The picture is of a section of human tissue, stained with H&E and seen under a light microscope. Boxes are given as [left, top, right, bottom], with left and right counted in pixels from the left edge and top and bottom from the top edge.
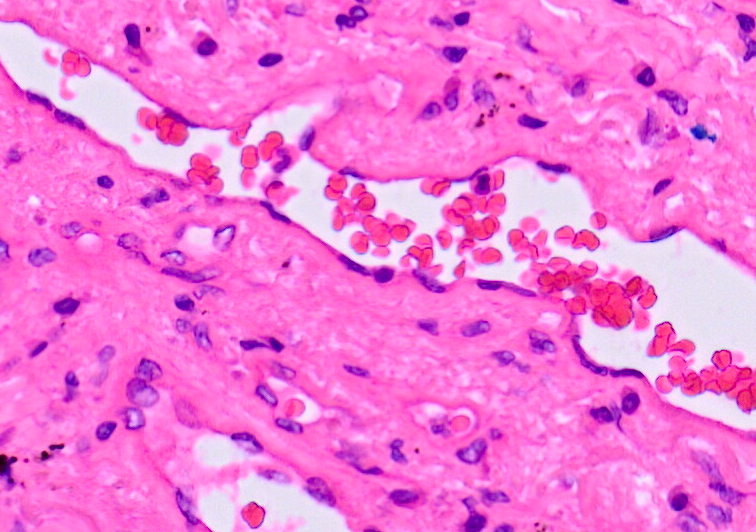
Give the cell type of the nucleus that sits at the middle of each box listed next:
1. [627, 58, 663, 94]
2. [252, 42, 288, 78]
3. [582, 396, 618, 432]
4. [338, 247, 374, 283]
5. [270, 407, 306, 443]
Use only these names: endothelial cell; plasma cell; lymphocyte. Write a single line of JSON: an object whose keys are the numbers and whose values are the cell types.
{"1": "plasma cell", "2": "lymphocyte", "3": "plasma cell", "4": "endothelial cell", "5": "endothelial cell"}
